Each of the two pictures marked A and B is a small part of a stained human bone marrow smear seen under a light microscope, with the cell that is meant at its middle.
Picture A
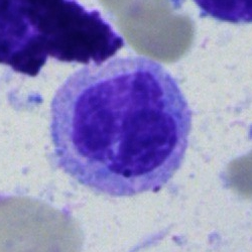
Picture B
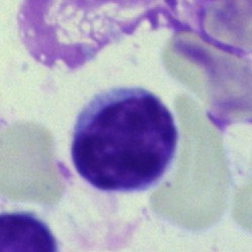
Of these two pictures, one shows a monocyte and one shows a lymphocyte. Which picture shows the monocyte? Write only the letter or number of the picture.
A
